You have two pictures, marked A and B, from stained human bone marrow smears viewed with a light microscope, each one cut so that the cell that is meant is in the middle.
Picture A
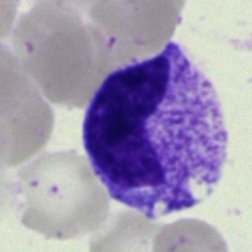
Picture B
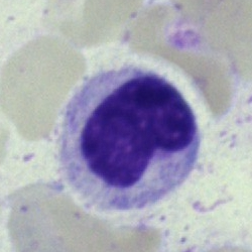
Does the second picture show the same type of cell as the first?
no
